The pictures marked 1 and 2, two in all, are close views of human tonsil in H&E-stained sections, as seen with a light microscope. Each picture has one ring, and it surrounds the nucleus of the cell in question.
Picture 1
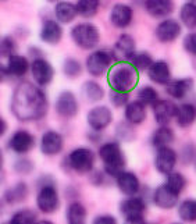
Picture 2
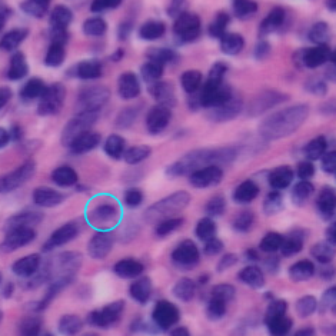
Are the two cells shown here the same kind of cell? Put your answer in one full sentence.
No, picture 1 shows a small lymphocyte and picture 2 shows an endothelial cell.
